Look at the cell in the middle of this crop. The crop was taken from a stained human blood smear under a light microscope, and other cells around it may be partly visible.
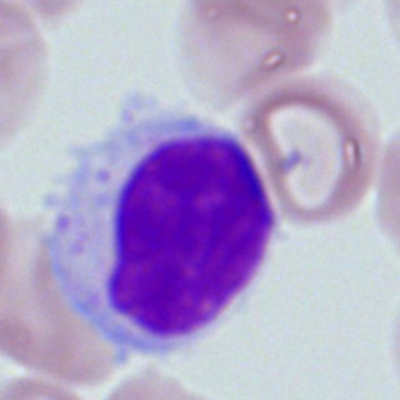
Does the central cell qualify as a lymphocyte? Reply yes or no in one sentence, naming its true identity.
Yes, the middle cell is classified as a lymphocyte.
